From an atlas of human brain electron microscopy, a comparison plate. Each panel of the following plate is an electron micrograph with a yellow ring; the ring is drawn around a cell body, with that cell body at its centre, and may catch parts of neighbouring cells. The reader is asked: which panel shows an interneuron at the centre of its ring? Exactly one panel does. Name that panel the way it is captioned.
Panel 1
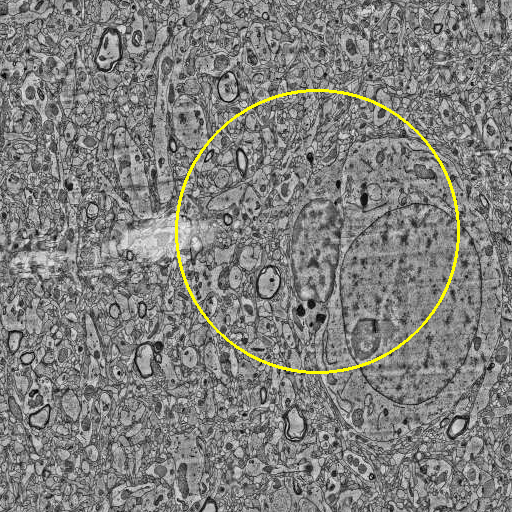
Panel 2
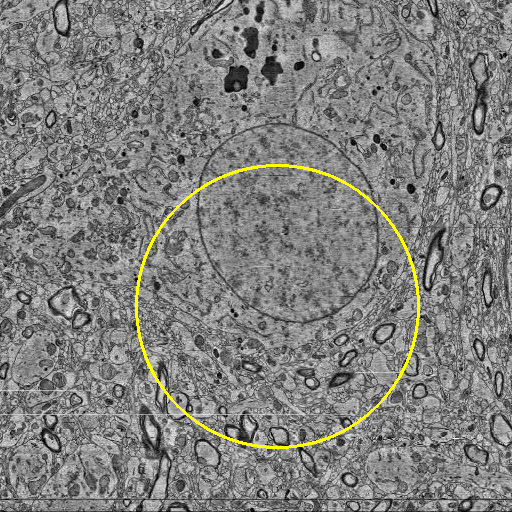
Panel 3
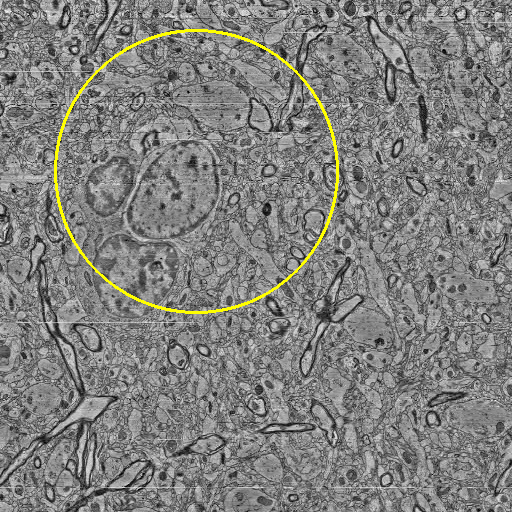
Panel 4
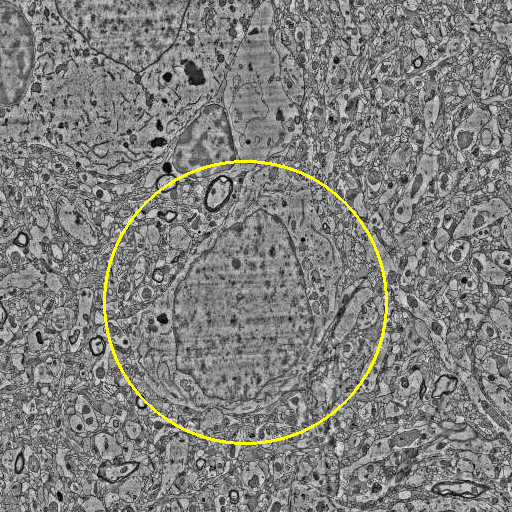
Panel 4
